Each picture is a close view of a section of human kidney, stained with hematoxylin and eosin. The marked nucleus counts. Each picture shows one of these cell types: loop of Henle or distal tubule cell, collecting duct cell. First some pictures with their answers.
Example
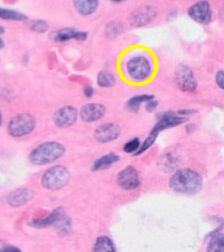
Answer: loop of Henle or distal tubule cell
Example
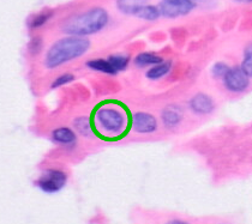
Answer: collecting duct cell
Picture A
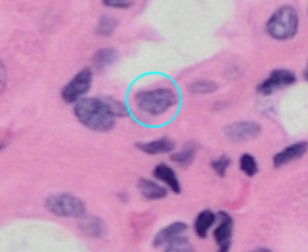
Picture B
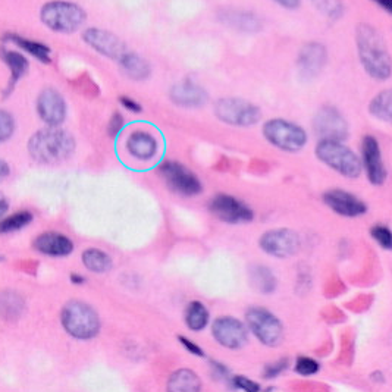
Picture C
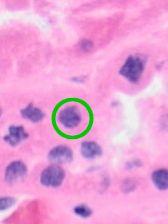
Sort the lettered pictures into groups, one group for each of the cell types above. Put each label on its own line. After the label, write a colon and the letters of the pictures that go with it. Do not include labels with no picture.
loop of Henle or distal tubule cell: C
collecting duct cell: A, B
